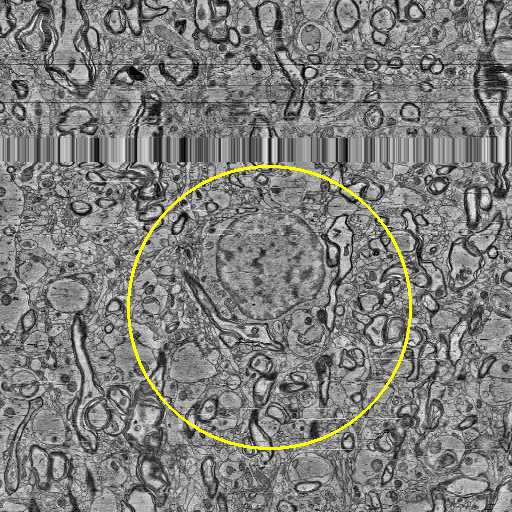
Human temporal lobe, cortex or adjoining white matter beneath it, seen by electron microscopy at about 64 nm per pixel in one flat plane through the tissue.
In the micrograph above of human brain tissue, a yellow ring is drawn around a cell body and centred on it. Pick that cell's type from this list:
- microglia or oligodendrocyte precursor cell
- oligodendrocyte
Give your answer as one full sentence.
Going by the list, an oligodendrocyte is the cell on which the yellow ring is centred.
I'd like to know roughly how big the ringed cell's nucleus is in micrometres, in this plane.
In this plane, approximately 7 micrometres across.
